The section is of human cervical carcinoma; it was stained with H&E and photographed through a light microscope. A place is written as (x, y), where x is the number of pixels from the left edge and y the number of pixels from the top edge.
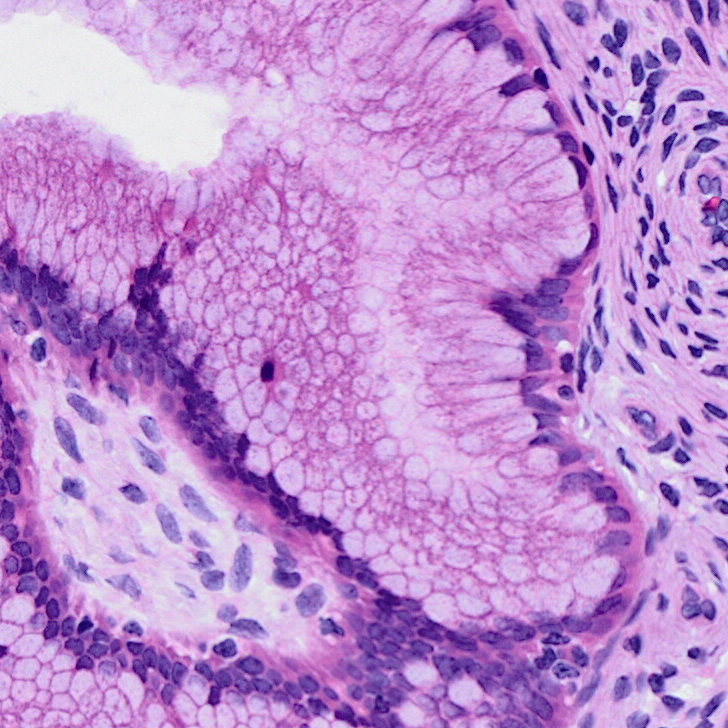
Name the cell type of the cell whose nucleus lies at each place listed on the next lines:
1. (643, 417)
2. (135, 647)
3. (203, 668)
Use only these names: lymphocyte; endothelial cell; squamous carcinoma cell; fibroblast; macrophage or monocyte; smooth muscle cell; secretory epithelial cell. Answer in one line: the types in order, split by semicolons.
endothelial cell; secretory epithelial cell; secretory epithelial cell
